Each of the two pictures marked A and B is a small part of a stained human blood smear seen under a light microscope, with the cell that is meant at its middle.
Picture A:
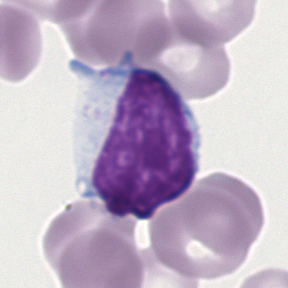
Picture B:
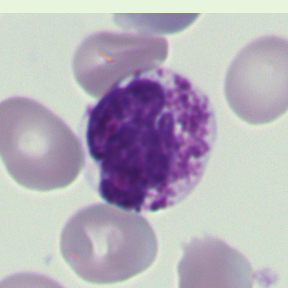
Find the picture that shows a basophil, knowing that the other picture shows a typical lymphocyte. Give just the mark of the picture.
B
